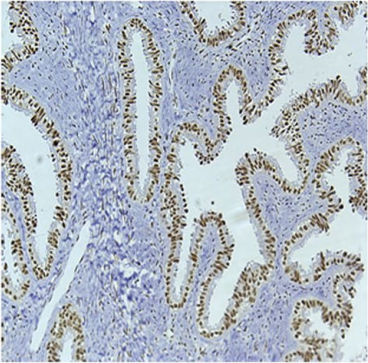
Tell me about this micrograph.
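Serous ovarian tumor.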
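The lining is a closely packed layer of columnar cells whose elongated nuclei are stained dark brown. The stroma between the folds is made of spindle-shaped cells with small blue nuclei that are largely unstained. The empty, pale spaces are the lumens bordered by the brown-nucleated lining, so the brown stain traces the outline of each fold.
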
